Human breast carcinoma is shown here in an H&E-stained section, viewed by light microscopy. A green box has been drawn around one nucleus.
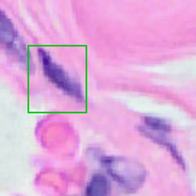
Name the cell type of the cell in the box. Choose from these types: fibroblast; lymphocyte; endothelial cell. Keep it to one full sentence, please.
The expected answer is simply that the cell in the box is an endothelial cell.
